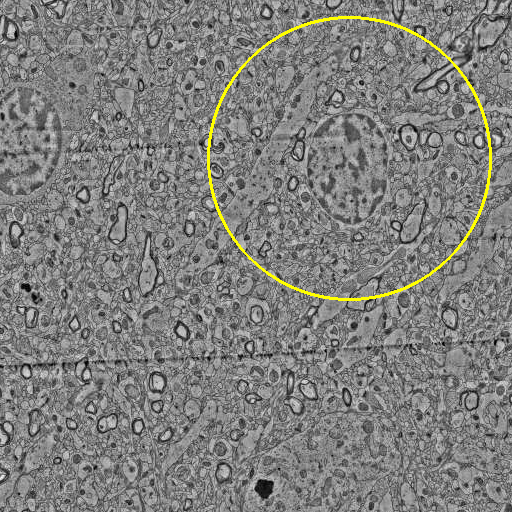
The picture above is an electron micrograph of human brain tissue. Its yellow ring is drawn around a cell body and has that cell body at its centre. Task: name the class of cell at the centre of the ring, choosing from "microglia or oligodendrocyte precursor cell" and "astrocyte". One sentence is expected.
The ring surrounds the body of a microglial cell or oligodendrocyte precursor cell.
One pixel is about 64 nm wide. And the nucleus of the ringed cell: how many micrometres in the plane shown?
In this plane the nucleus measures roughly 7 by 5 micrometres.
